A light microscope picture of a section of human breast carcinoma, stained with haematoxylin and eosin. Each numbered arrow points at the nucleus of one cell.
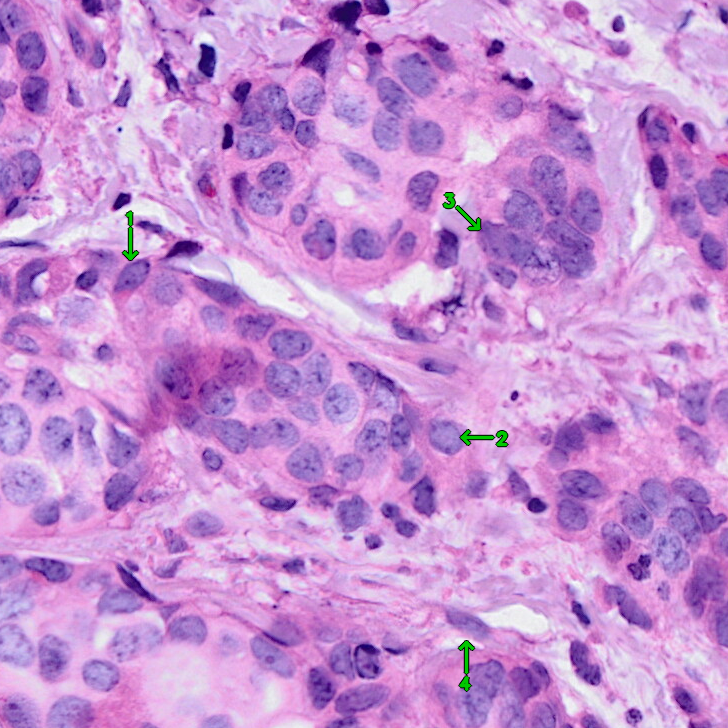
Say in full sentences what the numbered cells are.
Cell 1 is a carcinoma cell, cell 2 is a carcinoma cell, cell 3 is a carcinoma cell and cell 4 is a fibroblast.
